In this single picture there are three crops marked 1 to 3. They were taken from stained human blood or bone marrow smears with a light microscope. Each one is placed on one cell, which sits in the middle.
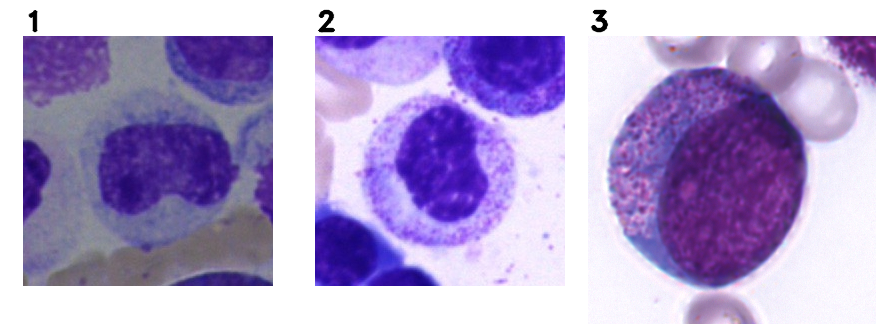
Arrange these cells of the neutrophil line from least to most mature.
3, 2, 1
